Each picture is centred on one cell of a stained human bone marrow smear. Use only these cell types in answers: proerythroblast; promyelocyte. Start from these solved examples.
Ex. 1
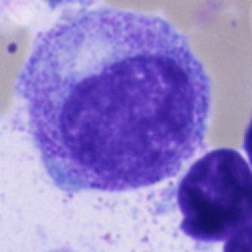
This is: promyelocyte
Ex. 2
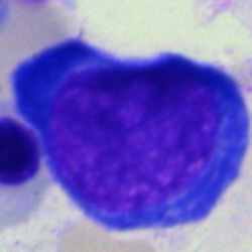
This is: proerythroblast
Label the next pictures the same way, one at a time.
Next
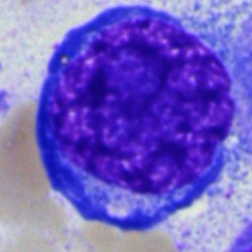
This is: proerythroblast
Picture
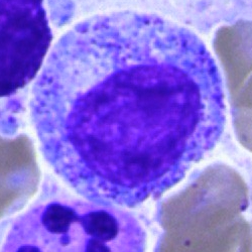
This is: promyelocyte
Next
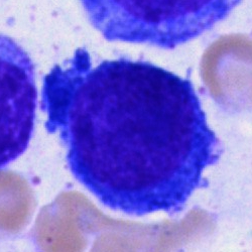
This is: proerythroblast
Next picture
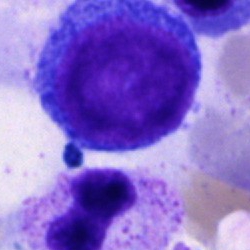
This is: proerythroblast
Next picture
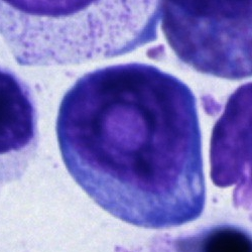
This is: proerythroblast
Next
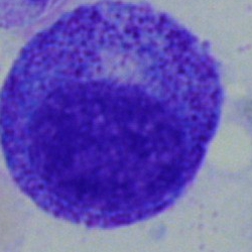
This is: promyelocyte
